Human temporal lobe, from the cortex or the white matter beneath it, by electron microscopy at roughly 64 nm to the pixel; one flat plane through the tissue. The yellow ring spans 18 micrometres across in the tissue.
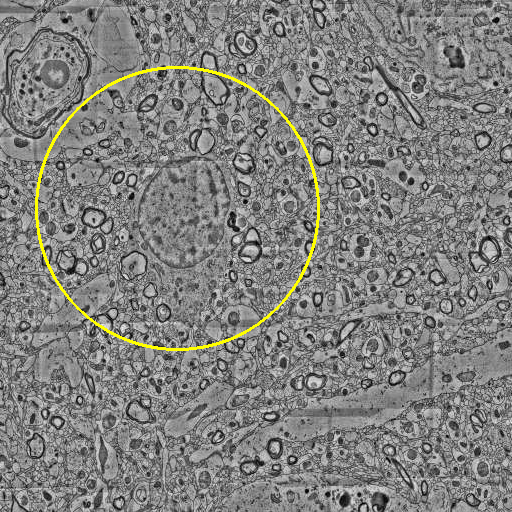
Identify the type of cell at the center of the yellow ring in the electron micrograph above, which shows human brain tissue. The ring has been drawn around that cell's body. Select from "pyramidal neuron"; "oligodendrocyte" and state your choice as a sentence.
The yellow ring is centered on the body of an oligodendrocyte.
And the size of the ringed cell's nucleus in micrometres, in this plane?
The nucleus is approximately 7 micrometers across in this plane.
